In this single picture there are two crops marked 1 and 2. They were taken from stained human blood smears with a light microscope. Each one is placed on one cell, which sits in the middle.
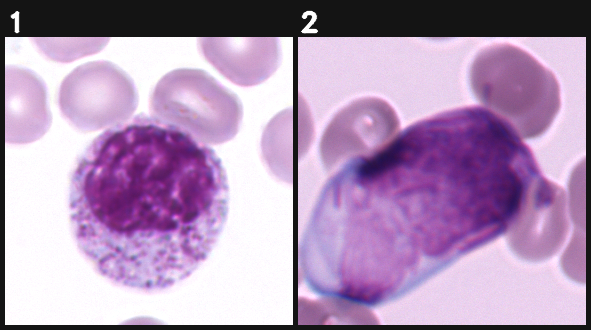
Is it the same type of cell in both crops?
no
